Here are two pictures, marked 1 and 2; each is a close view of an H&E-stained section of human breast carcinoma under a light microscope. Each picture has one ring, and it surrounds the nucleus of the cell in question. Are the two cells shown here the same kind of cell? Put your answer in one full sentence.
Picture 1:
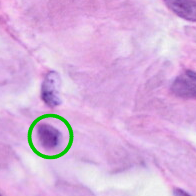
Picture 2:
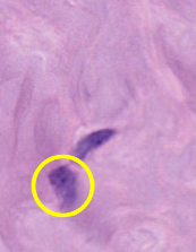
Yes, both cells are fibroblasts.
